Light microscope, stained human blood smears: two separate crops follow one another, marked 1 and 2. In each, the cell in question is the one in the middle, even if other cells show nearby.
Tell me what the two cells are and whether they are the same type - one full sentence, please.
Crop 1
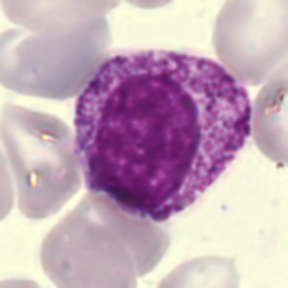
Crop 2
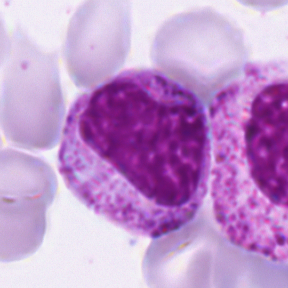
Yes, in both of the crops, the central cells are myelocytes.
